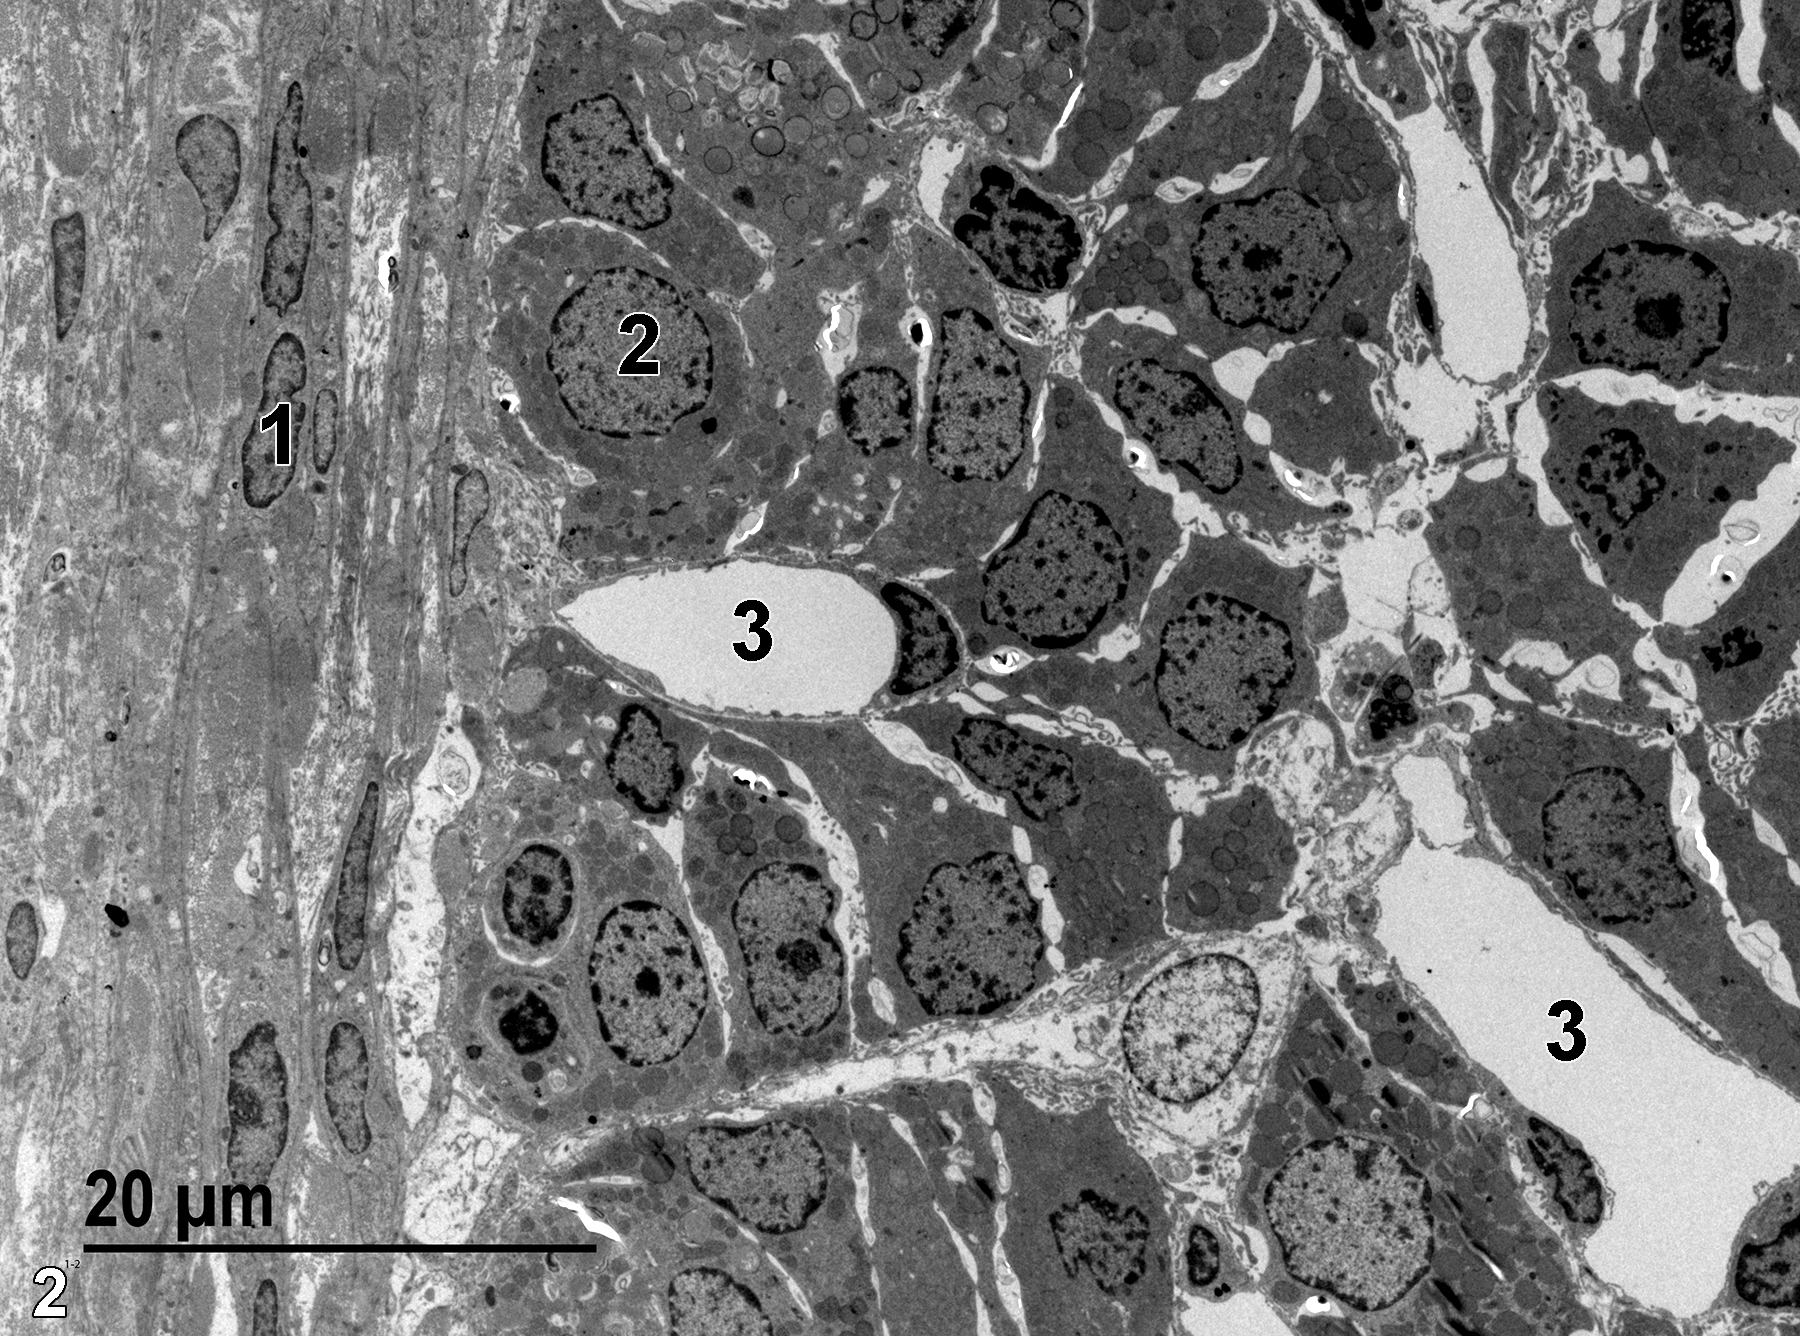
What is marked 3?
Capillaries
